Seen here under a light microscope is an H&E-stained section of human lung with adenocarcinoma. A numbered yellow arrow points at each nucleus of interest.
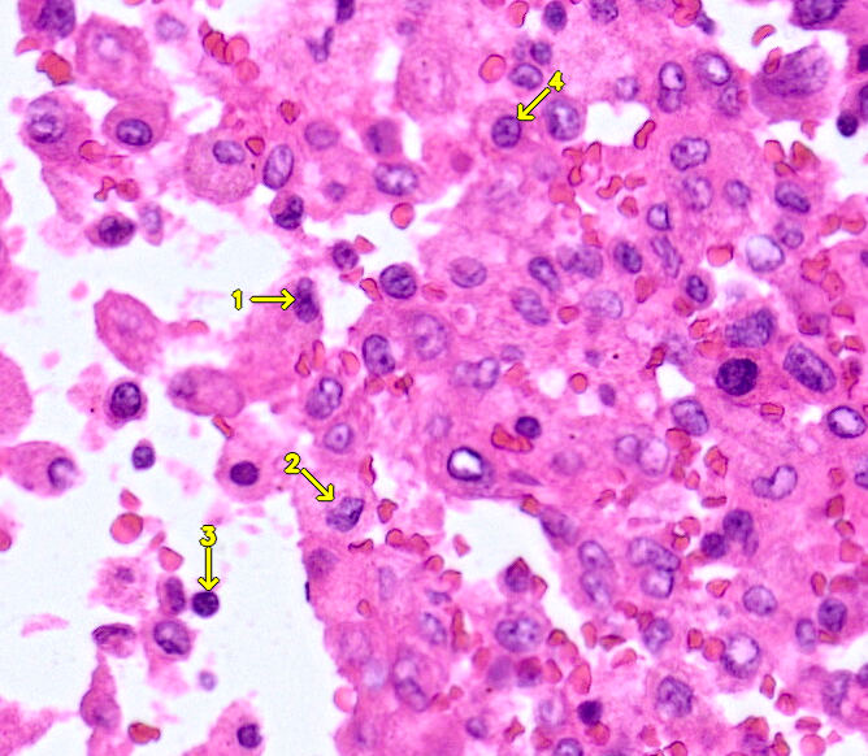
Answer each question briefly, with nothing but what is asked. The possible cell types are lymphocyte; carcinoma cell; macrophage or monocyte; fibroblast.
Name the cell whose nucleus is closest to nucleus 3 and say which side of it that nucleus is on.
a macrophage or monocyte; to the left of nucleus 3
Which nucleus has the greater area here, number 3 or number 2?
2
